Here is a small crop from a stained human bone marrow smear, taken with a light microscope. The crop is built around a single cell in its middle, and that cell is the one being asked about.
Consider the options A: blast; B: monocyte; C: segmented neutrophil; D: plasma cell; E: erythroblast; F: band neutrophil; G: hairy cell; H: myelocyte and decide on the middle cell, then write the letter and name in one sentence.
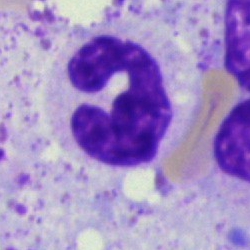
Option C is correct in that the central cell is a segmented neutrophil.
